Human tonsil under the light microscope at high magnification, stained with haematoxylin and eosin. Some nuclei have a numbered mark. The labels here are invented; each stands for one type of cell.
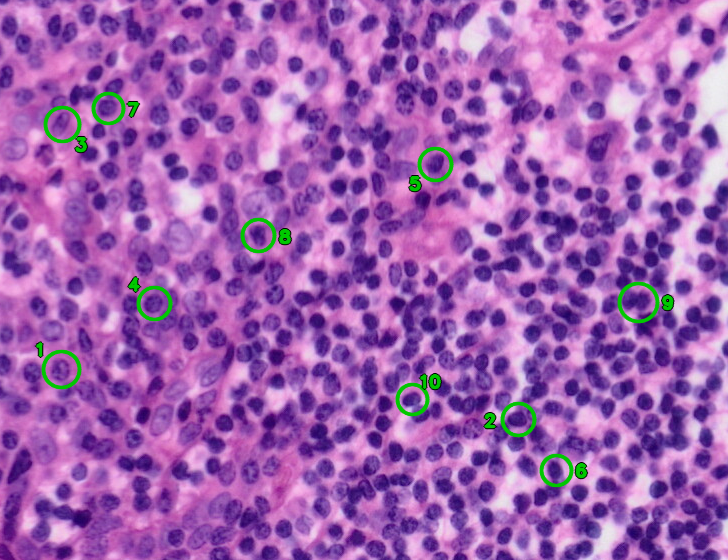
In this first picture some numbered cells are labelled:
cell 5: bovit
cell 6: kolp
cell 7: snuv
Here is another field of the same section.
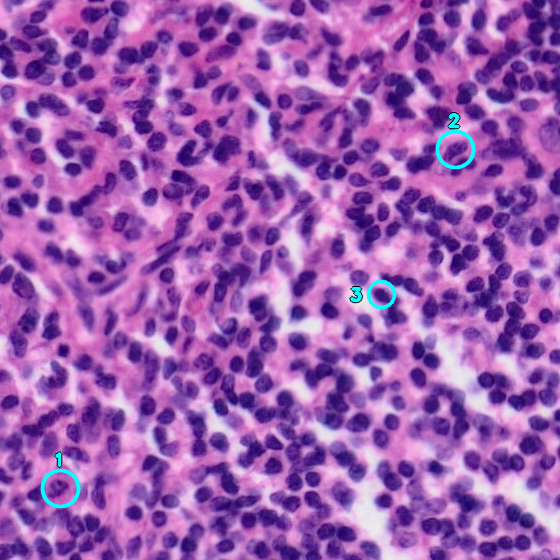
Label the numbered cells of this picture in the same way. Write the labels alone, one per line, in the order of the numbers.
snuv
bovit
kolp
